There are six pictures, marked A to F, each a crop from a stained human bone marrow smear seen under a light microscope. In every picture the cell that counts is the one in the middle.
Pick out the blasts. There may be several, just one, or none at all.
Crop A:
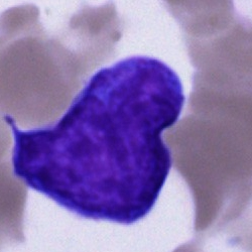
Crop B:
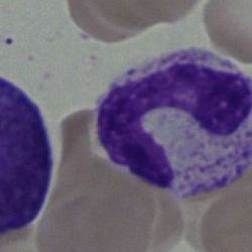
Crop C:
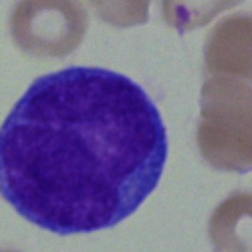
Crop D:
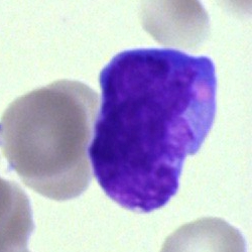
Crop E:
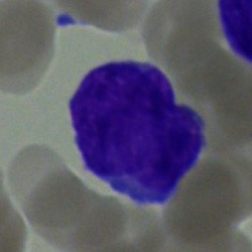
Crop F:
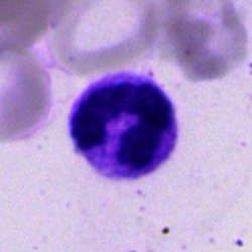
A, C, D, E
